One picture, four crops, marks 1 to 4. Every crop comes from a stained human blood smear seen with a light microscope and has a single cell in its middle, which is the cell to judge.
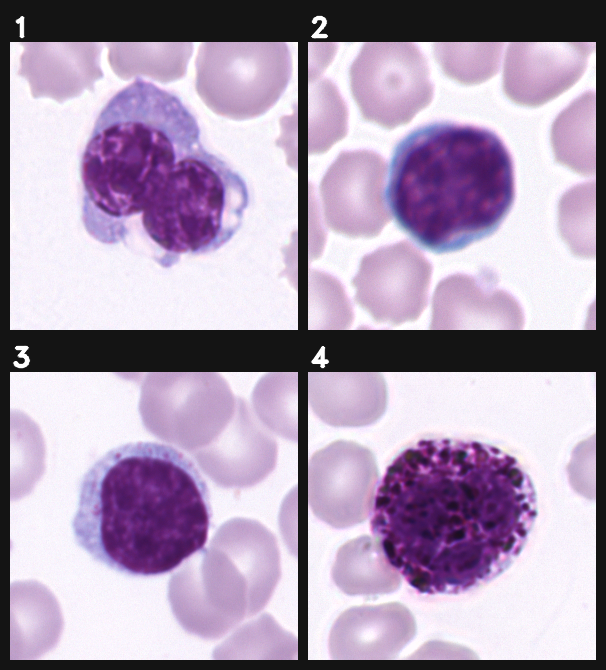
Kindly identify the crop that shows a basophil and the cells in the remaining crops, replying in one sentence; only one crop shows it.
Crop 4 shows a basophil, and meanwhile crop 1 is a plasma cell, crop 2 is a typical lymphocyte and crop 3 is a large granular lymphocyte.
